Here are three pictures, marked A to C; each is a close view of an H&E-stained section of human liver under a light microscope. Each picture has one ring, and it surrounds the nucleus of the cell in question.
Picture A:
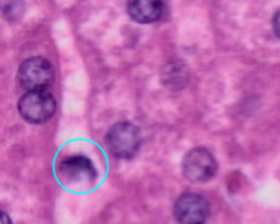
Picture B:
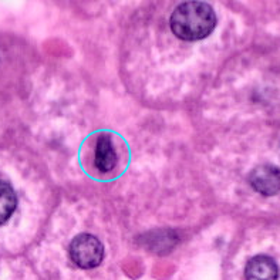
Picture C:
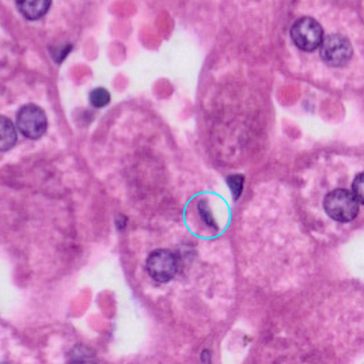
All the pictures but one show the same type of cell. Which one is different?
B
